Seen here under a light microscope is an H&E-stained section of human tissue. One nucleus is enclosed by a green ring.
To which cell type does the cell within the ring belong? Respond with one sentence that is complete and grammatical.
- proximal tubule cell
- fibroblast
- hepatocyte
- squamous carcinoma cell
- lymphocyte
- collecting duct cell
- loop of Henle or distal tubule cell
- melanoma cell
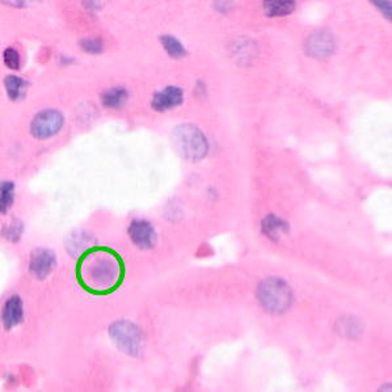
Labelled by cell type, the cell within the ring is a loop of Henle or distal tubule cell.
